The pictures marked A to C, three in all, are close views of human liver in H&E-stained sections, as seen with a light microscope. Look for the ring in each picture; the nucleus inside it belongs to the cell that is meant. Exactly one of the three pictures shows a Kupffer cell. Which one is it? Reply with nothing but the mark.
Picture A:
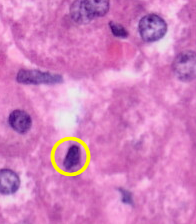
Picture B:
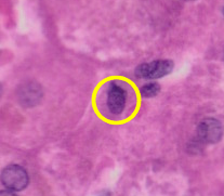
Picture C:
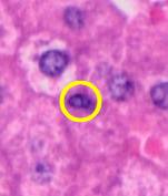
B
